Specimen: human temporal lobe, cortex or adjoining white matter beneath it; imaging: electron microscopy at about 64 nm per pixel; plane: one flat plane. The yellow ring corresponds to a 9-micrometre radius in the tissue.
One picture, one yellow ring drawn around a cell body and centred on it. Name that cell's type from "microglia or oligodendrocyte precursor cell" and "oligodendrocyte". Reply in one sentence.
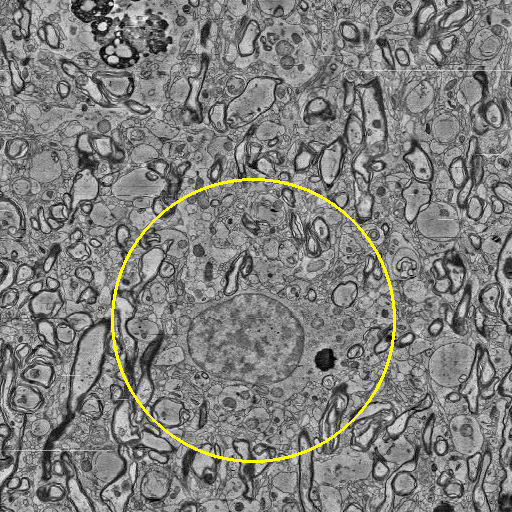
Centred in the ring is an oligodendrocyte.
